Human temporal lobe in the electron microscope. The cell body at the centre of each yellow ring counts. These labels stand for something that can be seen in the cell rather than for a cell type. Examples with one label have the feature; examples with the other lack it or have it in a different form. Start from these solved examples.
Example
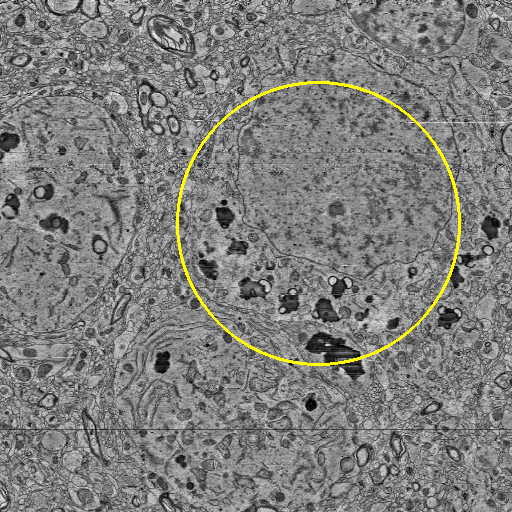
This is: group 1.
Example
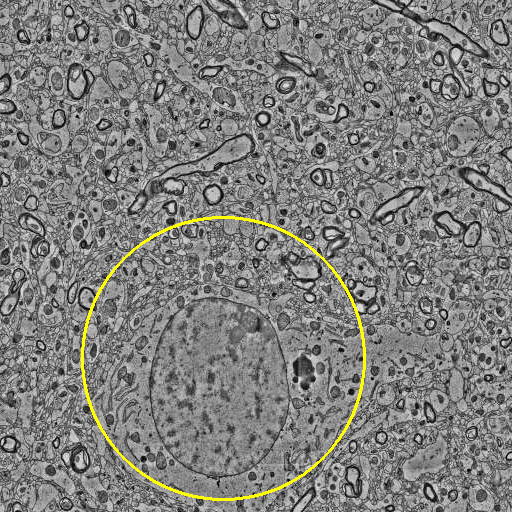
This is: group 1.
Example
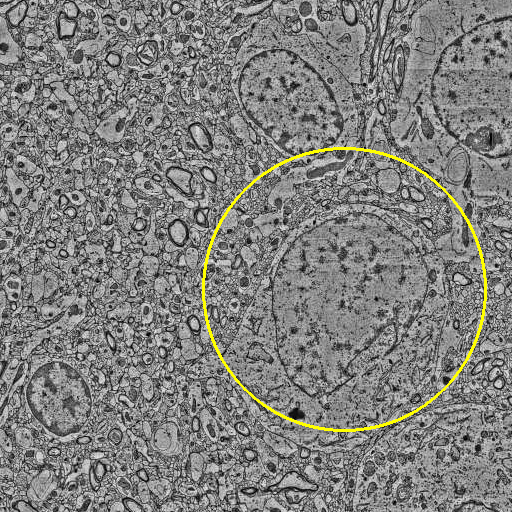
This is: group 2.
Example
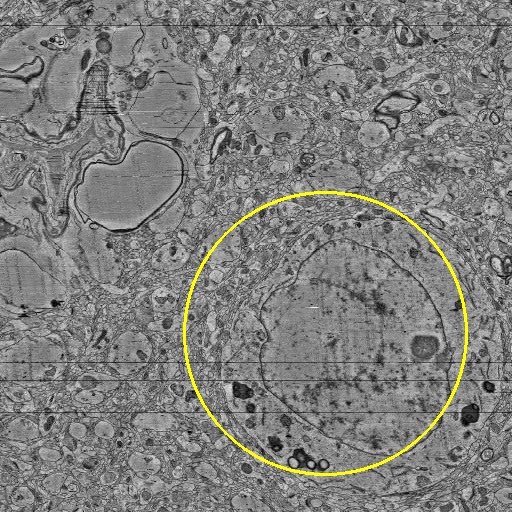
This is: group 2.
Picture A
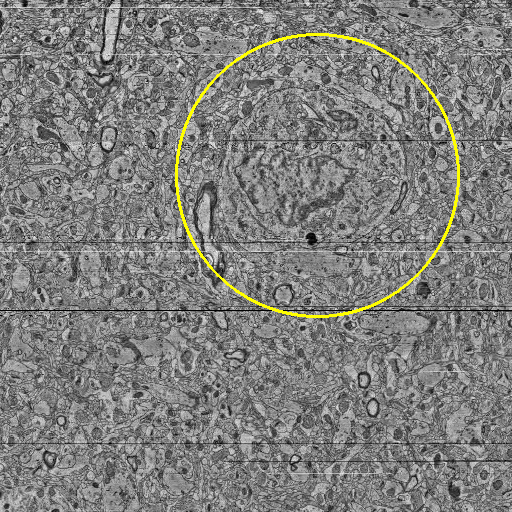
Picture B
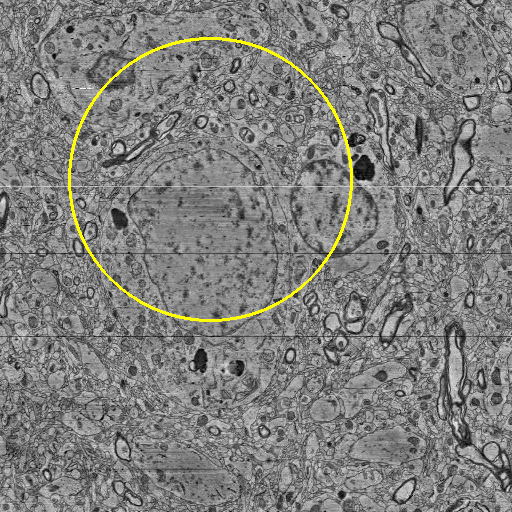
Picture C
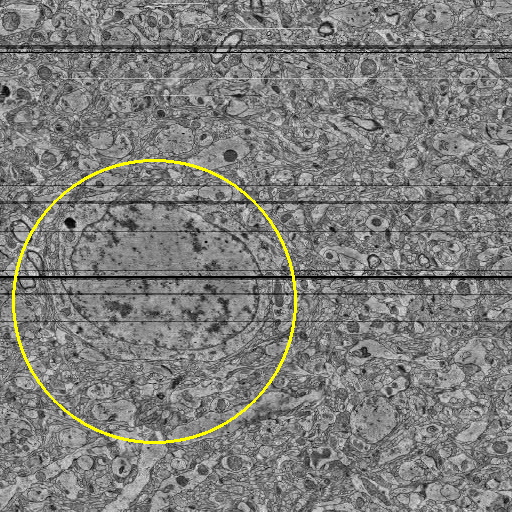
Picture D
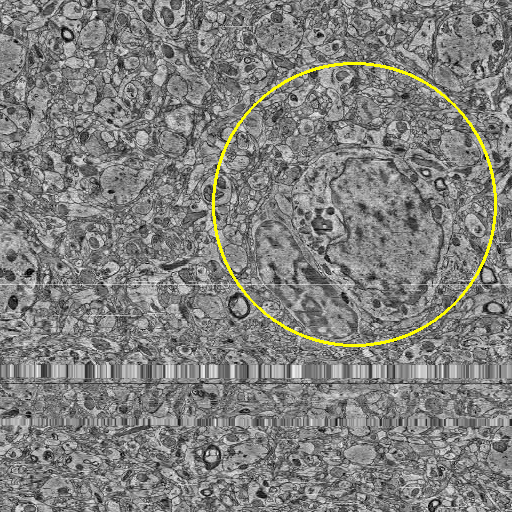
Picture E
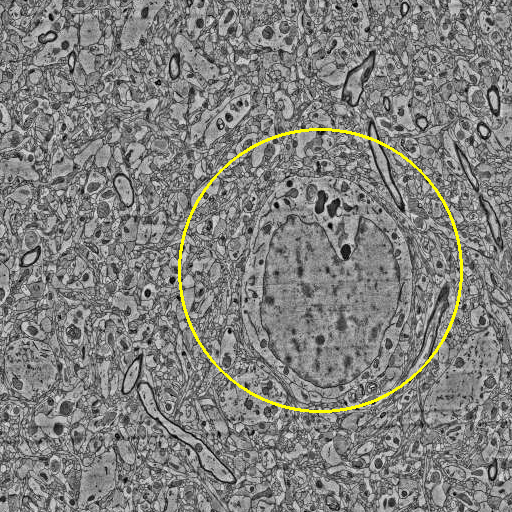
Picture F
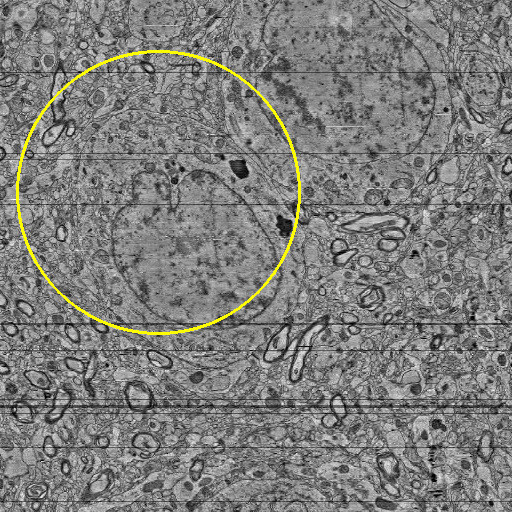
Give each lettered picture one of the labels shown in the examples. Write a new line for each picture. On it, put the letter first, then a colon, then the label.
A: group 2.
B: group 1.
C: group 1.
D: group 2.
E: group 2.
F: group 2.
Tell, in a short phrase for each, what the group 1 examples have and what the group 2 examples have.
In group 1: smooth nuclear envelopes without deep folds. In group 2: deeply folded or indented nuclear envelopes.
